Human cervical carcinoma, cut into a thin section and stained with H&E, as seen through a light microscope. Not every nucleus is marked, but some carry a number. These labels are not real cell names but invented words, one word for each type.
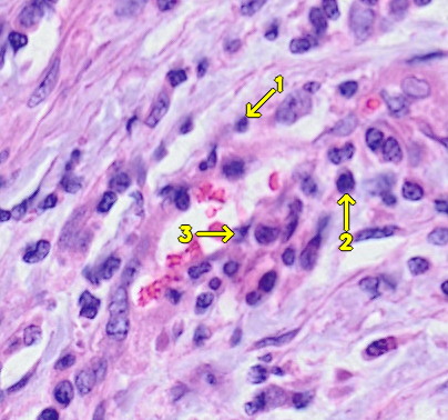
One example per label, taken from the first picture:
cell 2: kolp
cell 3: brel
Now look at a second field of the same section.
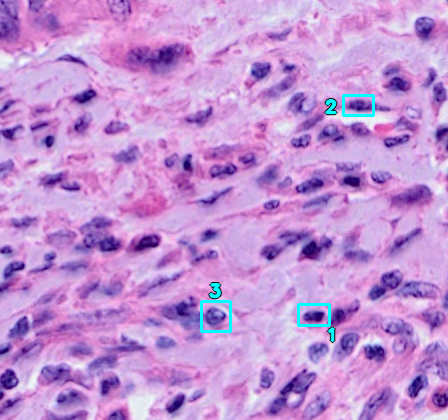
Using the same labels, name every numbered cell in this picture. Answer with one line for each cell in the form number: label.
1: kolp
2: brel
3: kolp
